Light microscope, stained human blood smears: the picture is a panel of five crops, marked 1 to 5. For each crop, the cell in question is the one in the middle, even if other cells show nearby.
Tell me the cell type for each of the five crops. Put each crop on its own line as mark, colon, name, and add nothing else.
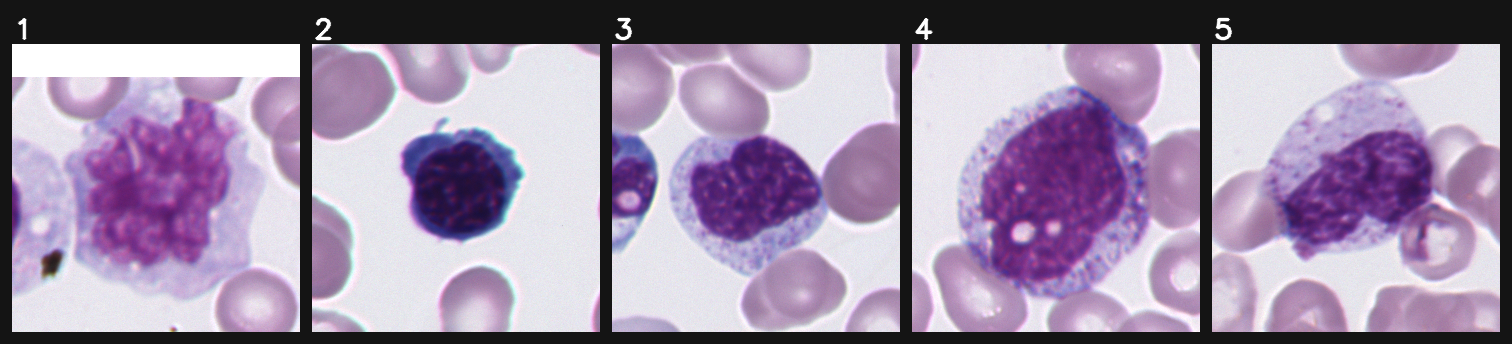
1: monocyte
2: normoblast
3: band neutrophil
4: promyelocyte
5: metamyelocyte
